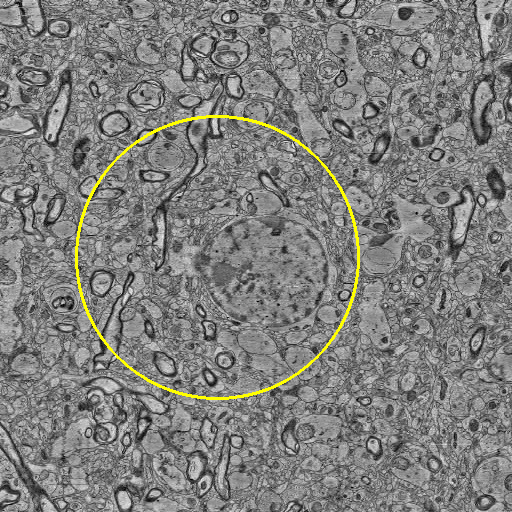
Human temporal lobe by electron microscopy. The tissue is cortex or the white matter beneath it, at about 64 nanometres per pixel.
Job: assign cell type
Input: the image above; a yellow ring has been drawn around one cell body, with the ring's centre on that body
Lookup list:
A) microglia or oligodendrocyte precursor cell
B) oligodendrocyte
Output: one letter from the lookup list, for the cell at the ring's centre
A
